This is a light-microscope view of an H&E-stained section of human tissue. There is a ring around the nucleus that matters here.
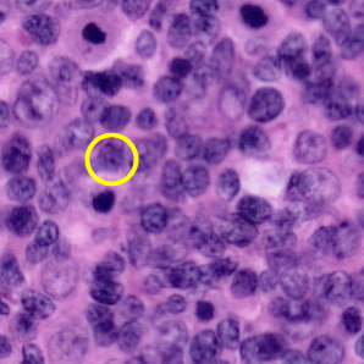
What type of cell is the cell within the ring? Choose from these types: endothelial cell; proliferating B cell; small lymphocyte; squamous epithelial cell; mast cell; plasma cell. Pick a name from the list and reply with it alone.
proliferating B cell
